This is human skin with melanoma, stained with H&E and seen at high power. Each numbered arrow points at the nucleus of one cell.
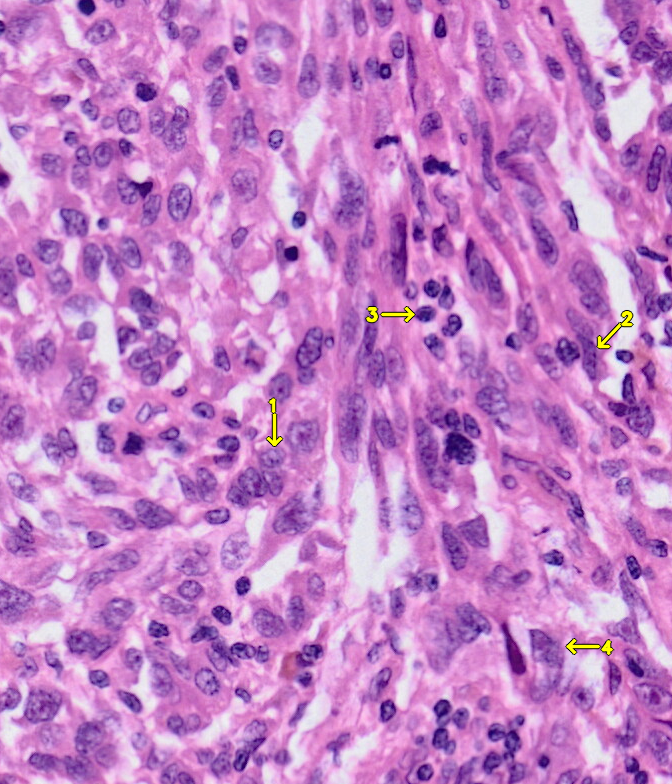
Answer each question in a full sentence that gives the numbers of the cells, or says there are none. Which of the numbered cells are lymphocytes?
The nucleus numbered 3 is the only one that belongs to a lymphocyte.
